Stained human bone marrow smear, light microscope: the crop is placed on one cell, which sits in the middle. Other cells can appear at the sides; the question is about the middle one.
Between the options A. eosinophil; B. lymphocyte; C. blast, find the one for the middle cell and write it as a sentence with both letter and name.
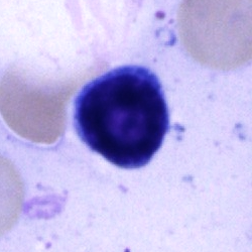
The right choice is option B: the cell in the middle is a lymphocyte.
